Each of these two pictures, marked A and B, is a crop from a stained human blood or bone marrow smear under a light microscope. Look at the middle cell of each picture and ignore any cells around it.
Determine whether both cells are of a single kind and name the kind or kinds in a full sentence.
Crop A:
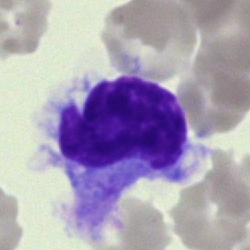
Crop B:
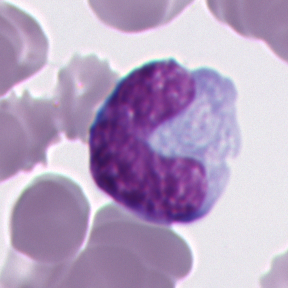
No, the cell centred in crop B is a monocyte; crop A centres on a hairy cell.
